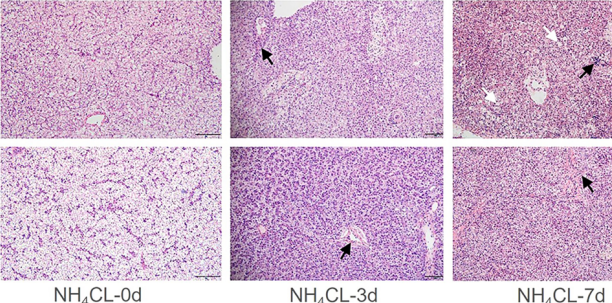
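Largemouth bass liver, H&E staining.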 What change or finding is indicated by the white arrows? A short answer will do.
cavitation degeneration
